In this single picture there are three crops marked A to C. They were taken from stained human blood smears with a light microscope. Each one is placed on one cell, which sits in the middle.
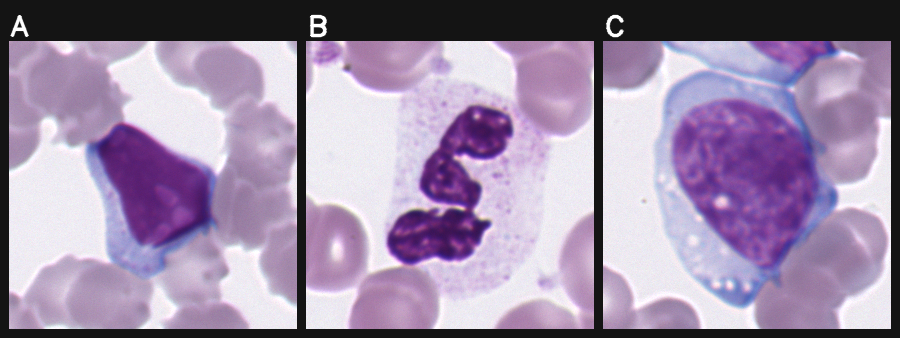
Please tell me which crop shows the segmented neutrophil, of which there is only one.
B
